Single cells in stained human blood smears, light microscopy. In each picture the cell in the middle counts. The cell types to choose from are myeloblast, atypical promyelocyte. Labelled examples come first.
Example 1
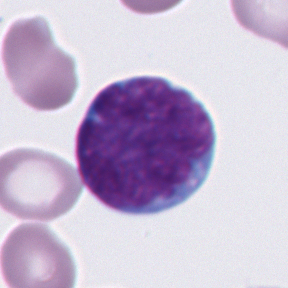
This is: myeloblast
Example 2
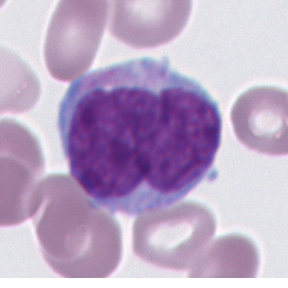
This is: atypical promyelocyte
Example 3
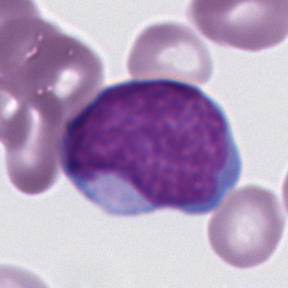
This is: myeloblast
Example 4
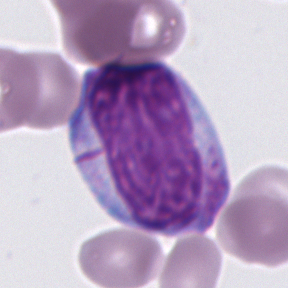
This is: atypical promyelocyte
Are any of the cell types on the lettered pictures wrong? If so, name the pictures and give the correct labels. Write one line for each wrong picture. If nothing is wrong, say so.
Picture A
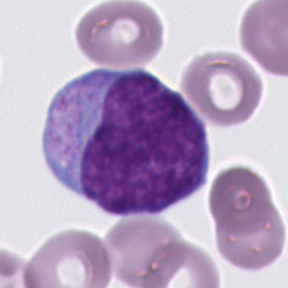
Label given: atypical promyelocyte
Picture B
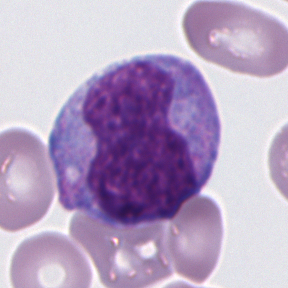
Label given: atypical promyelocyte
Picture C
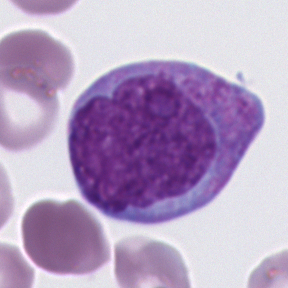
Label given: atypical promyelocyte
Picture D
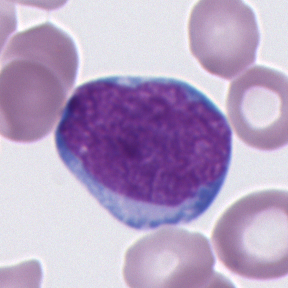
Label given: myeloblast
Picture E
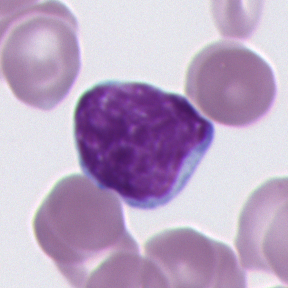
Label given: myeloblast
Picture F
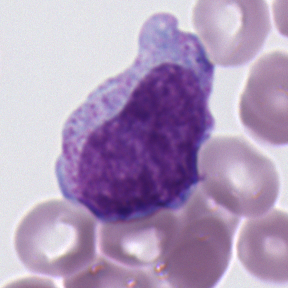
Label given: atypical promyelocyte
All labels are correct.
